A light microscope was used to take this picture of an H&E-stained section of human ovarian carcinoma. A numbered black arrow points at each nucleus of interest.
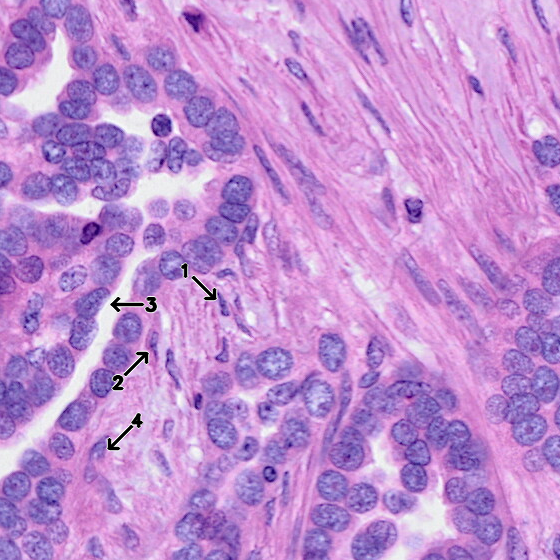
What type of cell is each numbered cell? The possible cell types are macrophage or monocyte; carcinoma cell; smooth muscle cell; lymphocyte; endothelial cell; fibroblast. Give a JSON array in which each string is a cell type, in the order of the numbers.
["fibroblast", "fibroblast", "carcinoma cell", "fibroblast"]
